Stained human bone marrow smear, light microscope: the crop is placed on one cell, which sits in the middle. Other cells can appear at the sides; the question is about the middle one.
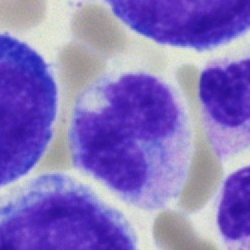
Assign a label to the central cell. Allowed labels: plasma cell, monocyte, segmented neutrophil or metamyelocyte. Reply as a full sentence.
On this slide crop, the central cell is a monocyte.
